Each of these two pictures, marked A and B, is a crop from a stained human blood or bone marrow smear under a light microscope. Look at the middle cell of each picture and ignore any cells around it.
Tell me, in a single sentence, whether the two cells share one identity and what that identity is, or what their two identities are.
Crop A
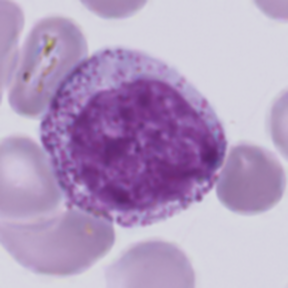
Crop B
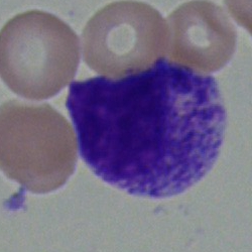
Yes, both crops show myelocytes, and that holds for each one.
